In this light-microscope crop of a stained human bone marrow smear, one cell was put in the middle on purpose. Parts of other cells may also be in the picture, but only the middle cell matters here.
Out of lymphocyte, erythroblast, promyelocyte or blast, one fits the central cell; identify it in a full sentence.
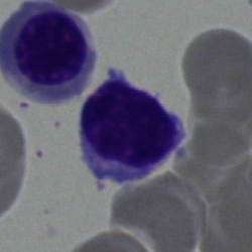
The cell nearest the centre of this crop is a lymphocyte.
